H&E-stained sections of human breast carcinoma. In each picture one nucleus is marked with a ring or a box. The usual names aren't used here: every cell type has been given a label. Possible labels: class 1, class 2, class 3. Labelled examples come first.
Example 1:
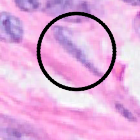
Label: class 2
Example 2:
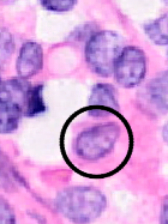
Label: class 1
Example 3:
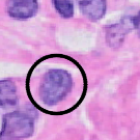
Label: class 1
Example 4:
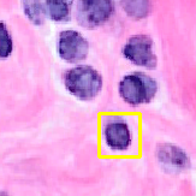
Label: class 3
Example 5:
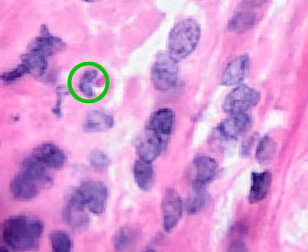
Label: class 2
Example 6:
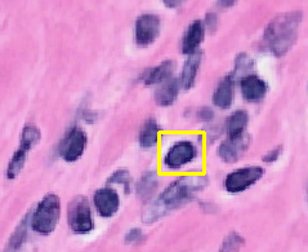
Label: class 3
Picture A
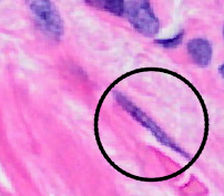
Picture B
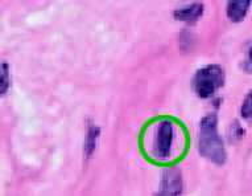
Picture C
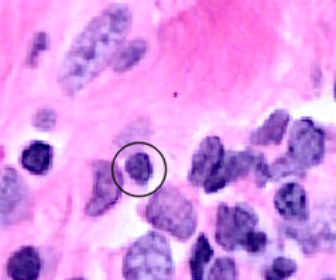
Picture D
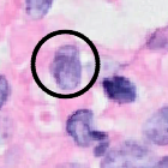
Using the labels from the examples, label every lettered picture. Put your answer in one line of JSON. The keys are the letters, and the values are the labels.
{"A": "class 2", "B": "class 3", "C": "class 3", "D": "class 1"}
